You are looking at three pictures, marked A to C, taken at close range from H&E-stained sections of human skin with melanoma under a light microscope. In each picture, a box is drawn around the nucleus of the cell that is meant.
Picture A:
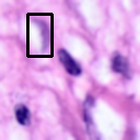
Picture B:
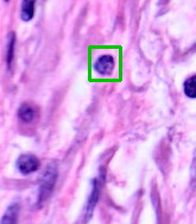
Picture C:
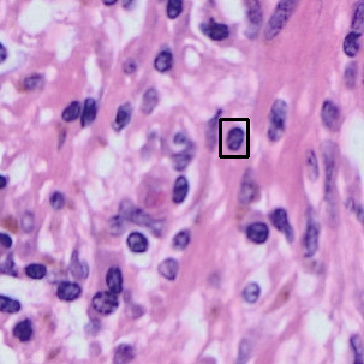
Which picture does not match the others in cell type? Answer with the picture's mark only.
A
